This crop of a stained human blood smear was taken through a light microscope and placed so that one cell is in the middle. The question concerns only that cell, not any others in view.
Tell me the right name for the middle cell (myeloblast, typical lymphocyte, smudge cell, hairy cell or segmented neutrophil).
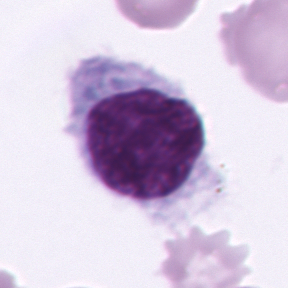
hairy cell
